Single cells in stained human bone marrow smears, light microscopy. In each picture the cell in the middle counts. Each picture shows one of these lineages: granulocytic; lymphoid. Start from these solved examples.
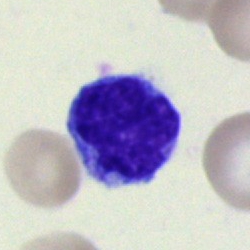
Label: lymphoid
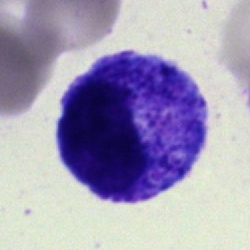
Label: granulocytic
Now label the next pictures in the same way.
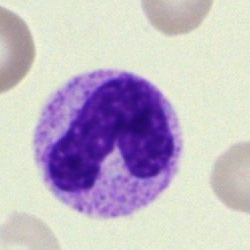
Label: granulocytic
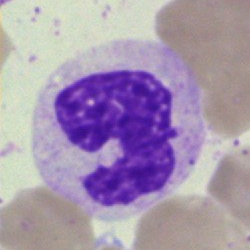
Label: granulocytic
